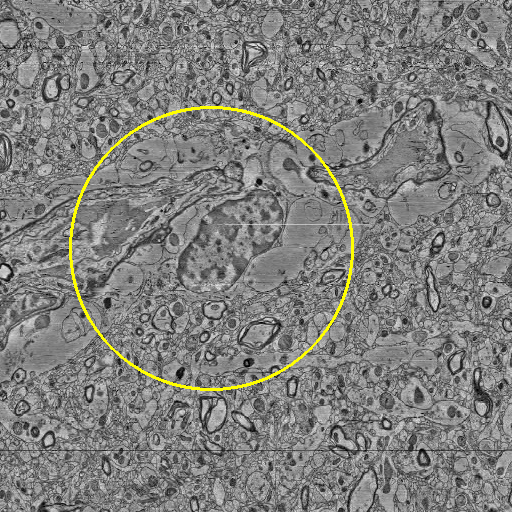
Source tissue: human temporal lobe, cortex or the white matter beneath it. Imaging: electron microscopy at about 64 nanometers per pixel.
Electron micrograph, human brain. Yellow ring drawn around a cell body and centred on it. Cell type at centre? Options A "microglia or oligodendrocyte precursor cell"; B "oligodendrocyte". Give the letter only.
A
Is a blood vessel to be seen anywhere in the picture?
Yes.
